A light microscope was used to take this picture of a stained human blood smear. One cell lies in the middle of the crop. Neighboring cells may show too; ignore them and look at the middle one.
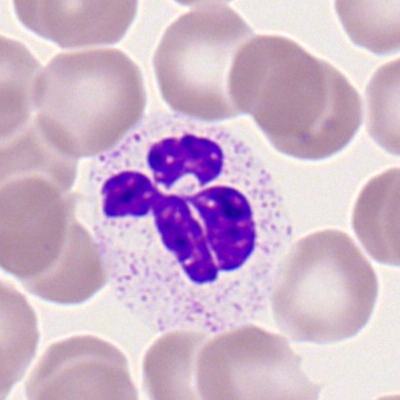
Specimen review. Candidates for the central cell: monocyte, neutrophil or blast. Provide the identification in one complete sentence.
By classification, the middle cell of this crop is a neutrophil.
